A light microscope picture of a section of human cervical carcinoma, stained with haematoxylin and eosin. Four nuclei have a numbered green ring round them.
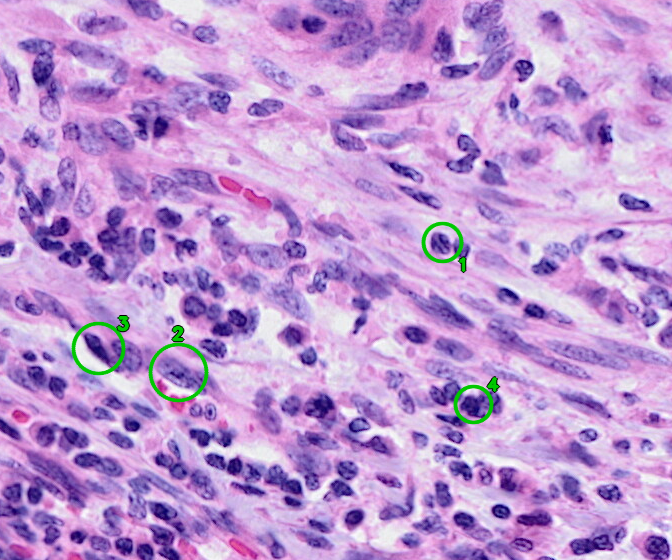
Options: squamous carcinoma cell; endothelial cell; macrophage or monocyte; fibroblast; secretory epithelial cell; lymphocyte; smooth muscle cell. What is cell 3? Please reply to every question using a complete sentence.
Number 3 is placed on a lymphocyte here.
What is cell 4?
The marked cell bearing number 4 is a lymphocyte.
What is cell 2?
Cell 2 in the field of view is an endothelial cell.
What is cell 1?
The cell given label 1 is a lymphocyte.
